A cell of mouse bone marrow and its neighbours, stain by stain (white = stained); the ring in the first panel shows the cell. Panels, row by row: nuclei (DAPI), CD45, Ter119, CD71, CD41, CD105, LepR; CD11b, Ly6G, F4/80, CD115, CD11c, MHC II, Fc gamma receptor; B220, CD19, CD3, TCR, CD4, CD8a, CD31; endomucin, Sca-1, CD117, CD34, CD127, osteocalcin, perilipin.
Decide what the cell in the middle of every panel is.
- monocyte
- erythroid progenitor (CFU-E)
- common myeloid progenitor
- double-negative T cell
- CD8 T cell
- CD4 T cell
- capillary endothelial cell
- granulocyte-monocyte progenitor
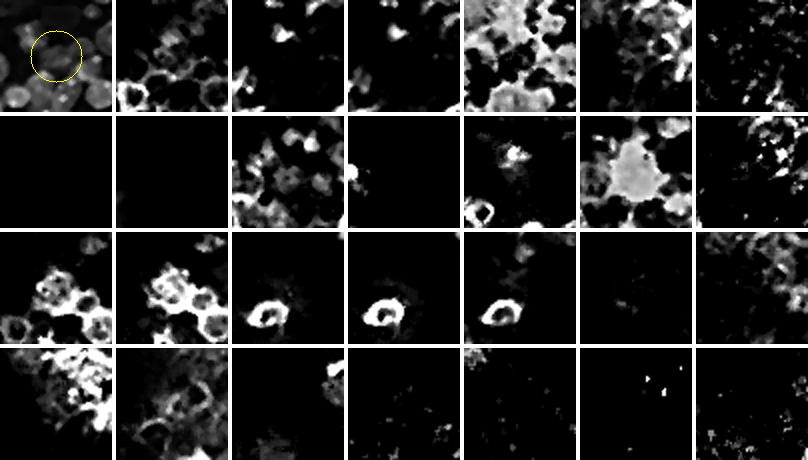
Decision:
capillary endothelial cell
